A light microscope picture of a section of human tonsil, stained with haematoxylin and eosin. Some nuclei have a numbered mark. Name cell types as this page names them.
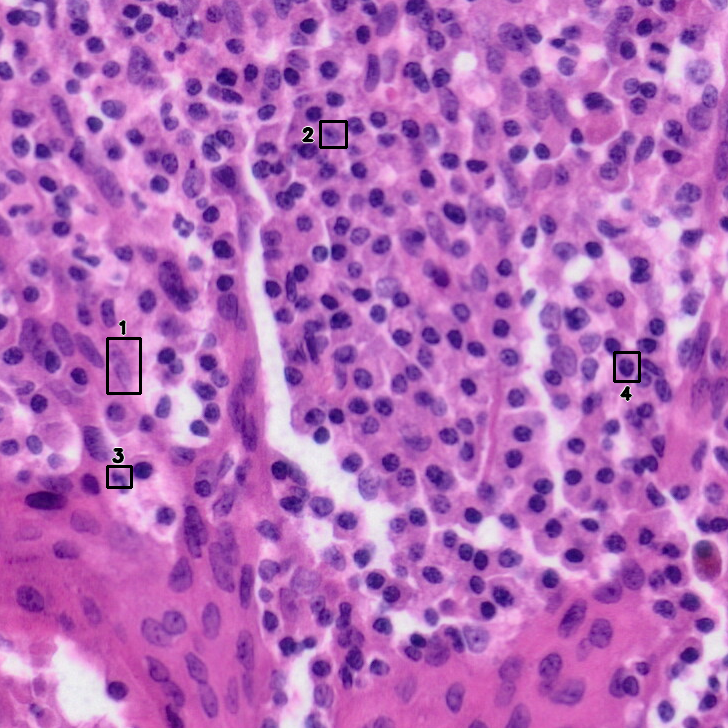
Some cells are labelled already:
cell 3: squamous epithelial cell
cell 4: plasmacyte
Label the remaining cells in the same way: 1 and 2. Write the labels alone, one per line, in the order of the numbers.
squamous epithelial cell
plasmacyte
